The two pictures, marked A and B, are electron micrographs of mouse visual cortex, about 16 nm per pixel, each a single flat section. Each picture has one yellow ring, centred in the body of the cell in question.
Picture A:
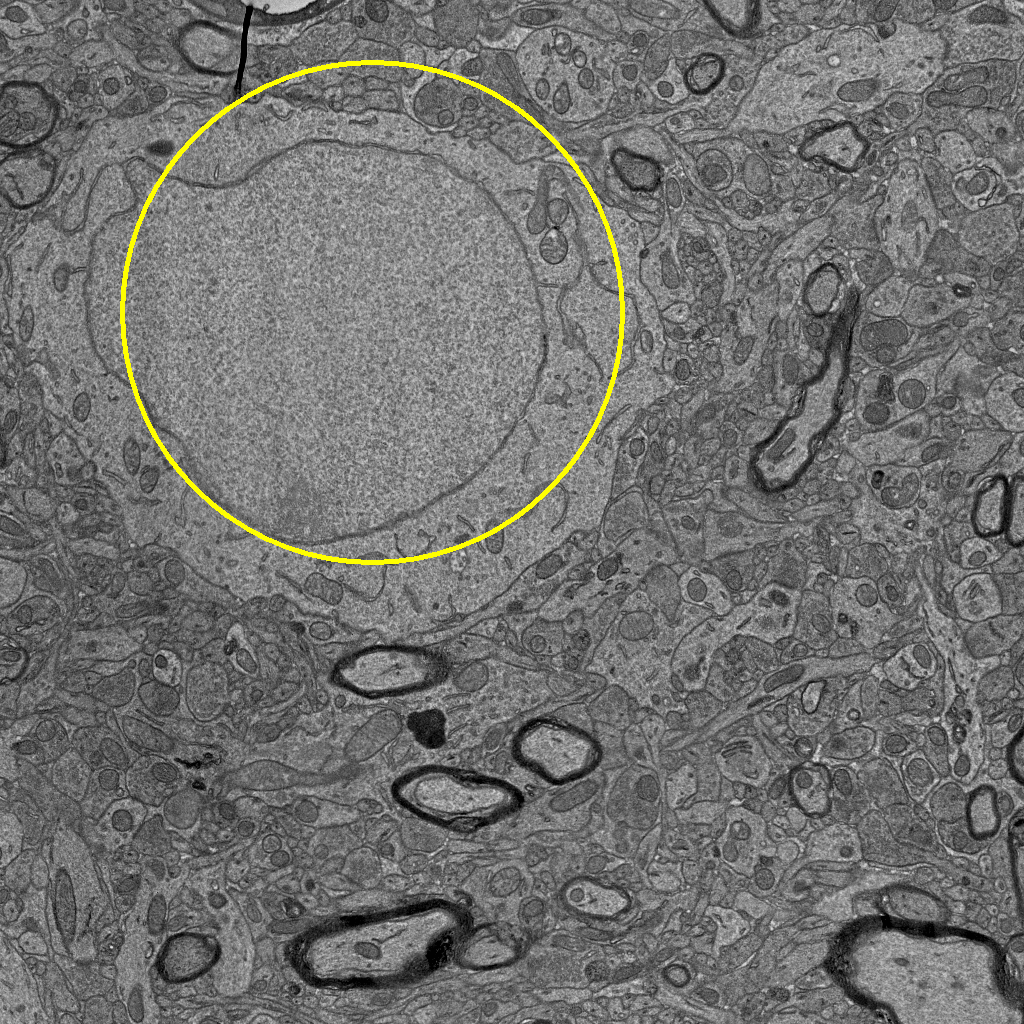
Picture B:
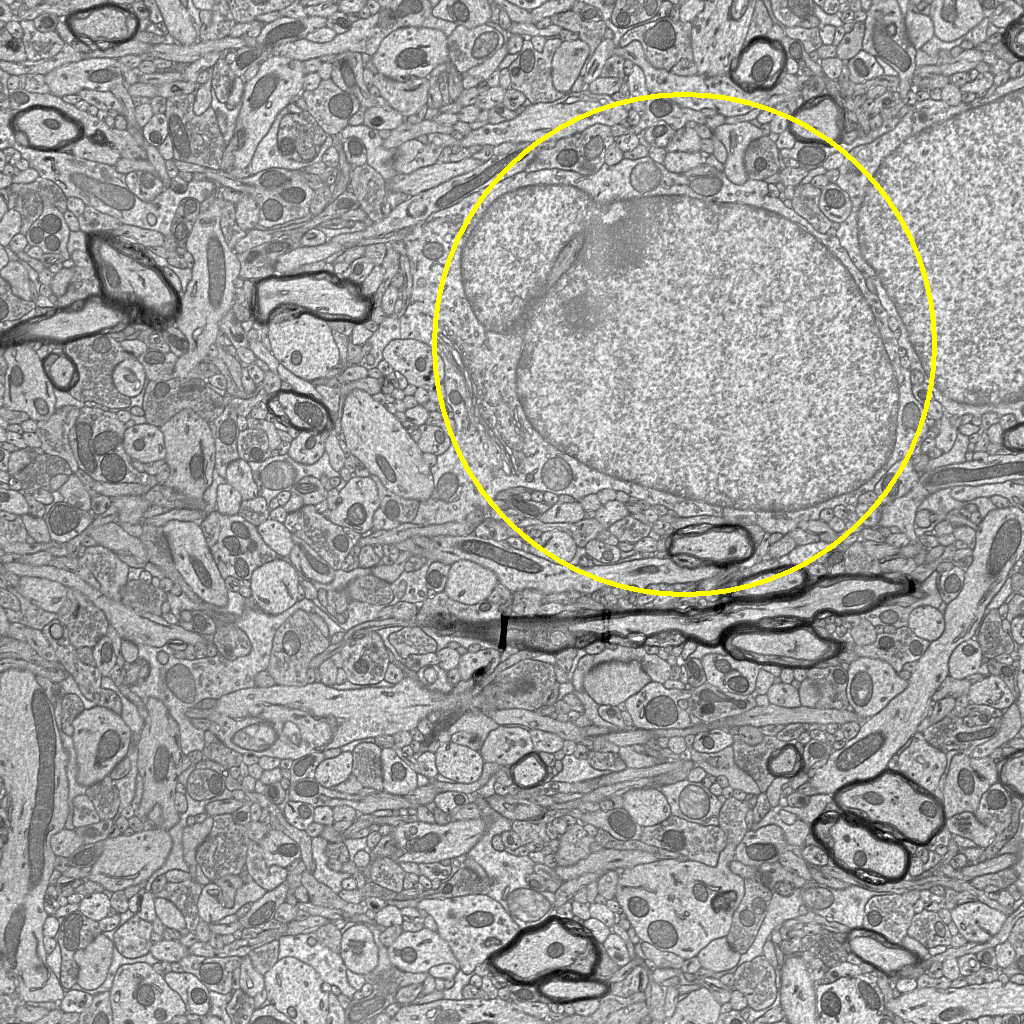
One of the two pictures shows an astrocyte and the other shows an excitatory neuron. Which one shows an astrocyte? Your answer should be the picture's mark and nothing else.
B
